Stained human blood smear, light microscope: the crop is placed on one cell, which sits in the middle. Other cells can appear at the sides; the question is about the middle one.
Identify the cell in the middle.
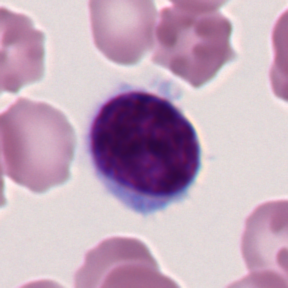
hairy cell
